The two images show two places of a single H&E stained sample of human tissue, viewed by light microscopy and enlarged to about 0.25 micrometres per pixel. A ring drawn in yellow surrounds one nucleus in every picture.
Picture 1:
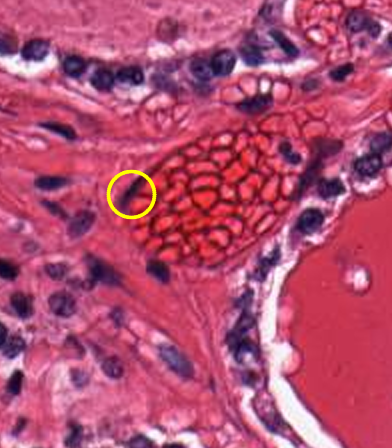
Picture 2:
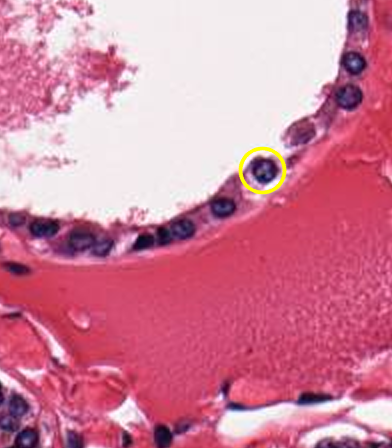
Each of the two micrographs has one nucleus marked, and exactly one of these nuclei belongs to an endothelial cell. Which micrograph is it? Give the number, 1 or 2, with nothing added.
1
